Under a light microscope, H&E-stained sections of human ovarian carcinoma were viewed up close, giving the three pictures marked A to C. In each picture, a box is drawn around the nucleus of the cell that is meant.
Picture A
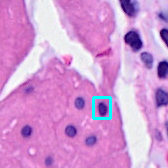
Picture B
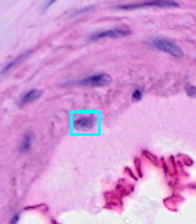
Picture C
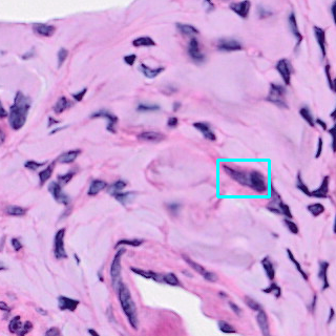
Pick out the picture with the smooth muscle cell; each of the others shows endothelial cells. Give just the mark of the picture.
A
